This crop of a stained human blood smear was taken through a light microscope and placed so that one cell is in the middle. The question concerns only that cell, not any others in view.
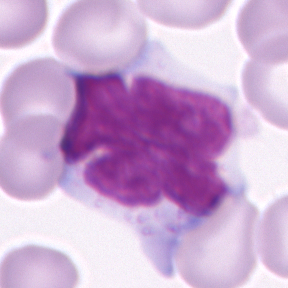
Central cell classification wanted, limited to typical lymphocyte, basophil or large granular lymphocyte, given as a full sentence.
Within this crop, a large granular lymphocyte occupies the central position.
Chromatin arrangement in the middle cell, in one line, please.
The chromatin is fine throughout, without coarse clumps.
